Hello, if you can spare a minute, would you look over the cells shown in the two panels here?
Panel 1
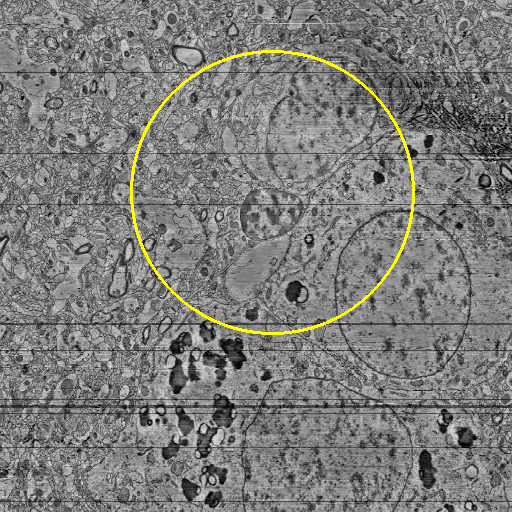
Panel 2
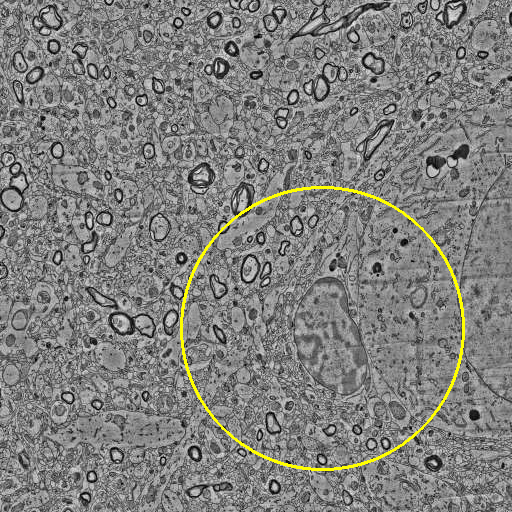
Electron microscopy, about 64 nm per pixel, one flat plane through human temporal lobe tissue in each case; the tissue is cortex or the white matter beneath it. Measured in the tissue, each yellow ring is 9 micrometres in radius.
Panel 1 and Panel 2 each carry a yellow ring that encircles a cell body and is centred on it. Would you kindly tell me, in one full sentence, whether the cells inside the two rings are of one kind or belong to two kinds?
The cells at the centres of the rings in Panel 1 and Panel 2 are of one kind.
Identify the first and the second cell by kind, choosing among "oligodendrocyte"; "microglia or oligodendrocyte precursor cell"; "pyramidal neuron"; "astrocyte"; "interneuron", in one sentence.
Each of the ringed cells, first and second, is a microglial cell or oligodendrocyte precursor cell.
